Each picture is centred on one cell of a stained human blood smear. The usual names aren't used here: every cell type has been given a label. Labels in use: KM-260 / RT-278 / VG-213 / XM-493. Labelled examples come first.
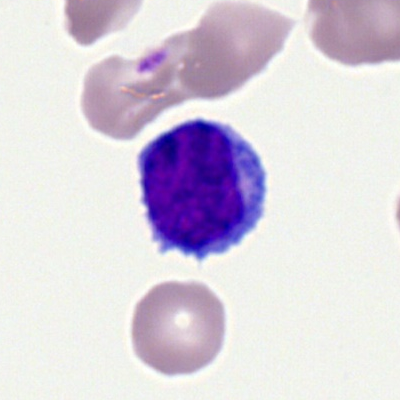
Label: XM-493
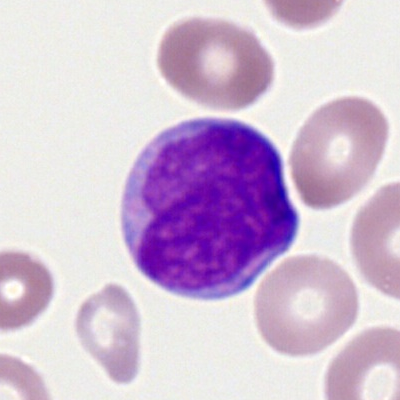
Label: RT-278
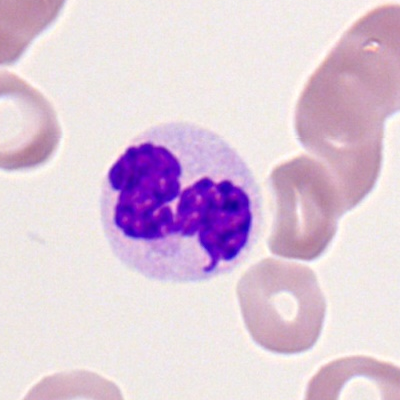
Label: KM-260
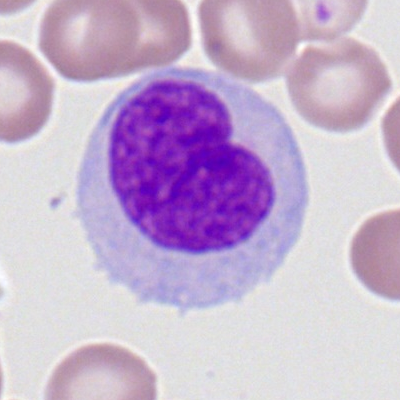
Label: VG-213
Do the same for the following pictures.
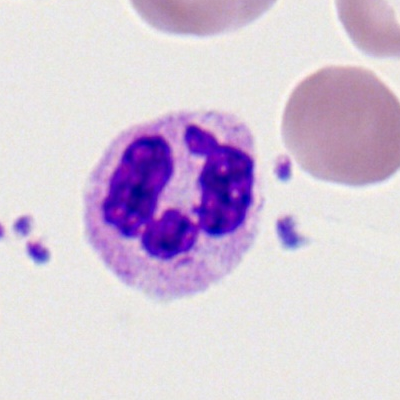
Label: KM-260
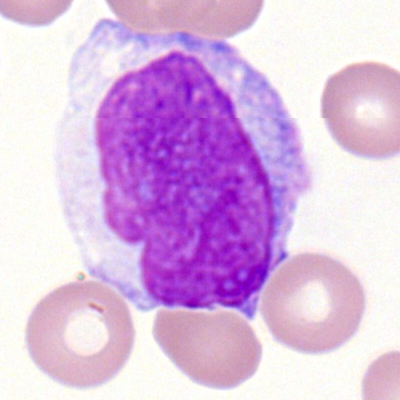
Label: VG-213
